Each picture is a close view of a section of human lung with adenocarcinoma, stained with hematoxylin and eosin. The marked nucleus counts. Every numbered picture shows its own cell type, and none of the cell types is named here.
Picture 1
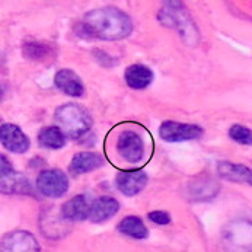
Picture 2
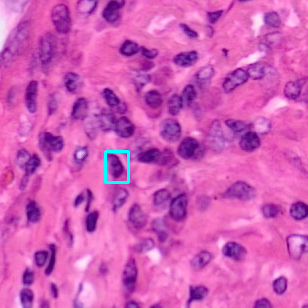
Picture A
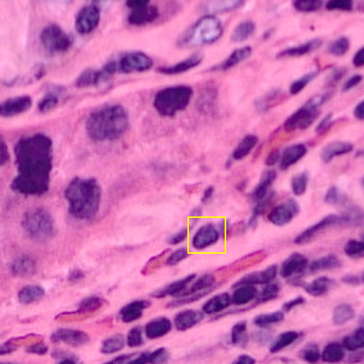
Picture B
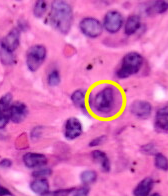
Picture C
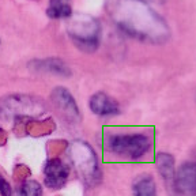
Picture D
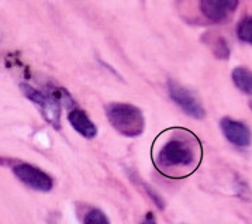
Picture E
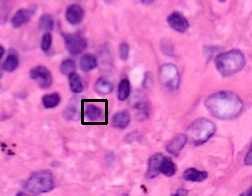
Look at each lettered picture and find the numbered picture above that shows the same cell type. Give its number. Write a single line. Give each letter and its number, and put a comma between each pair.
A 1, B 2, C 2, D 2, E 1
